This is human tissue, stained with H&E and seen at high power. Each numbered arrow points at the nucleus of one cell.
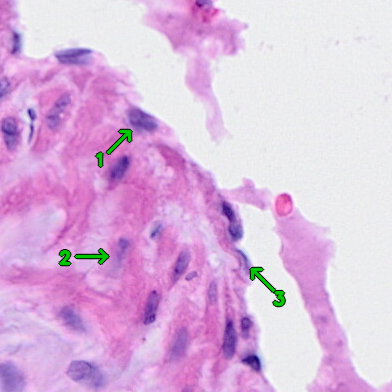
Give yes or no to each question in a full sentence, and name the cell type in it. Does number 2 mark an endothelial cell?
No, cell 2 is not an endothelial cell; a smooth muscle cell is correct.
